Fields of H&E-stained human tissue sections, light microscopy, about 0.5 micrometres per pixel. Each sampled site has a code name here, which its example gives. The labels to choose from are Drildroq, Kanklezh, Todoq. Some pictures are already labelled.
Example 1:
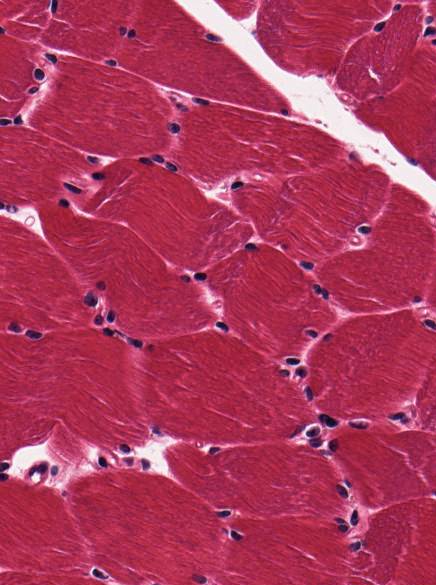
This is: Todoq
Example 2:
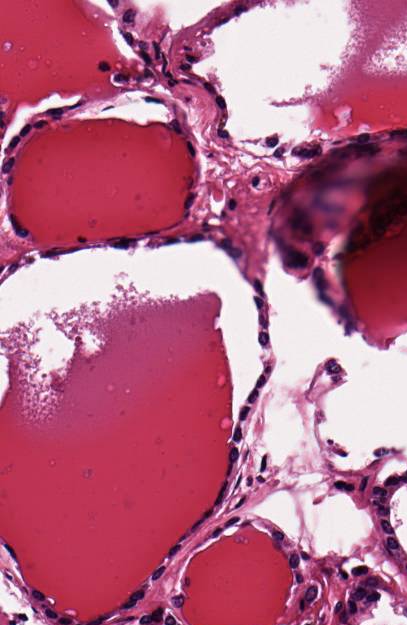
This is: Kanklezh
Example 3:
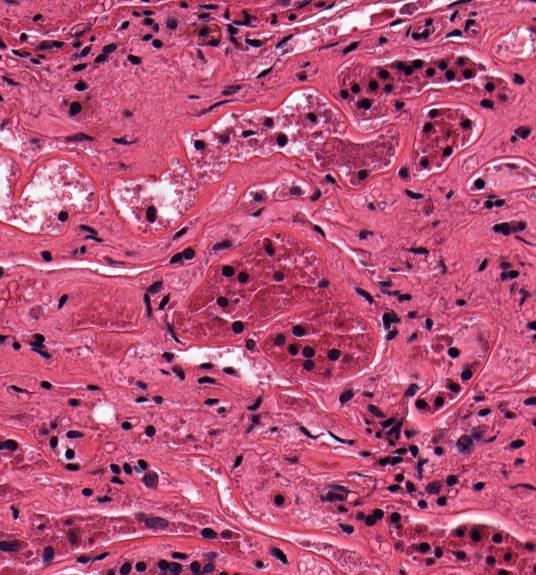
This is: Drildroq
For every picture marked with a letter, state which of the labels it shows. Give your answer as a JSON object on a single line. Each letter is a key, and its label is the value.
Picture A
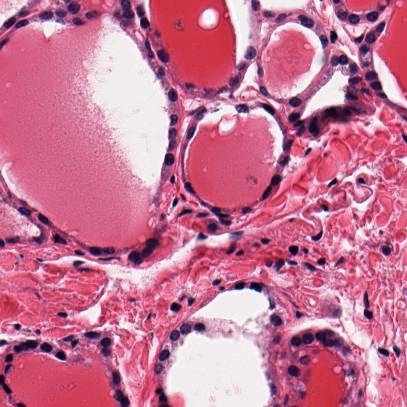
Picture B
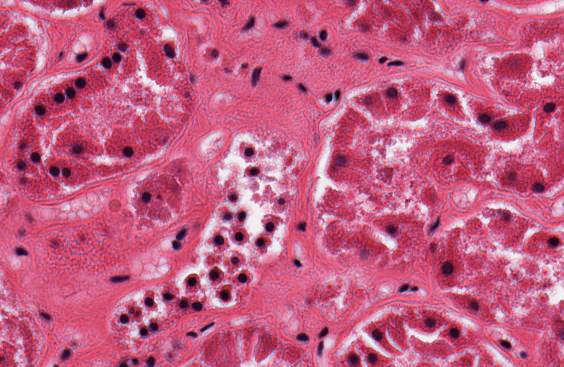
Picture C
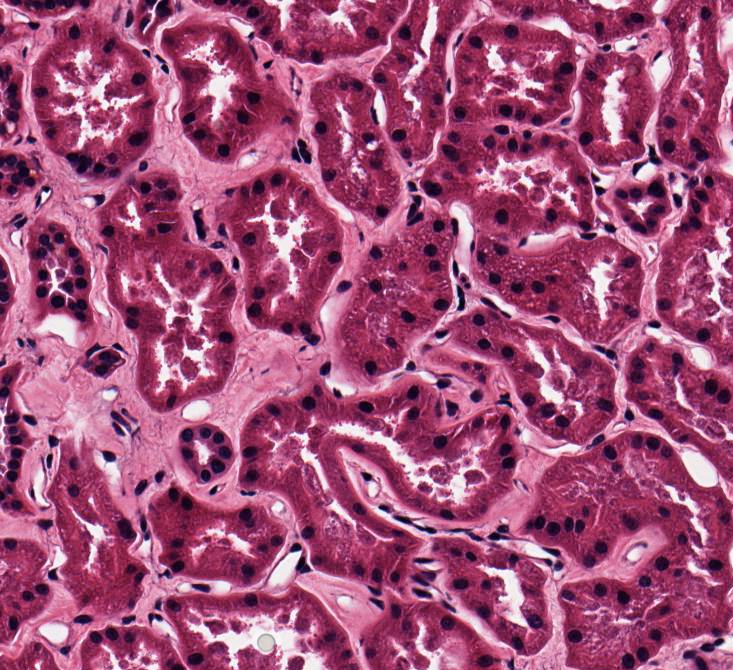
{"A": "Kanklezh", "B": "Drildroq", "C": "Drildroq"}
